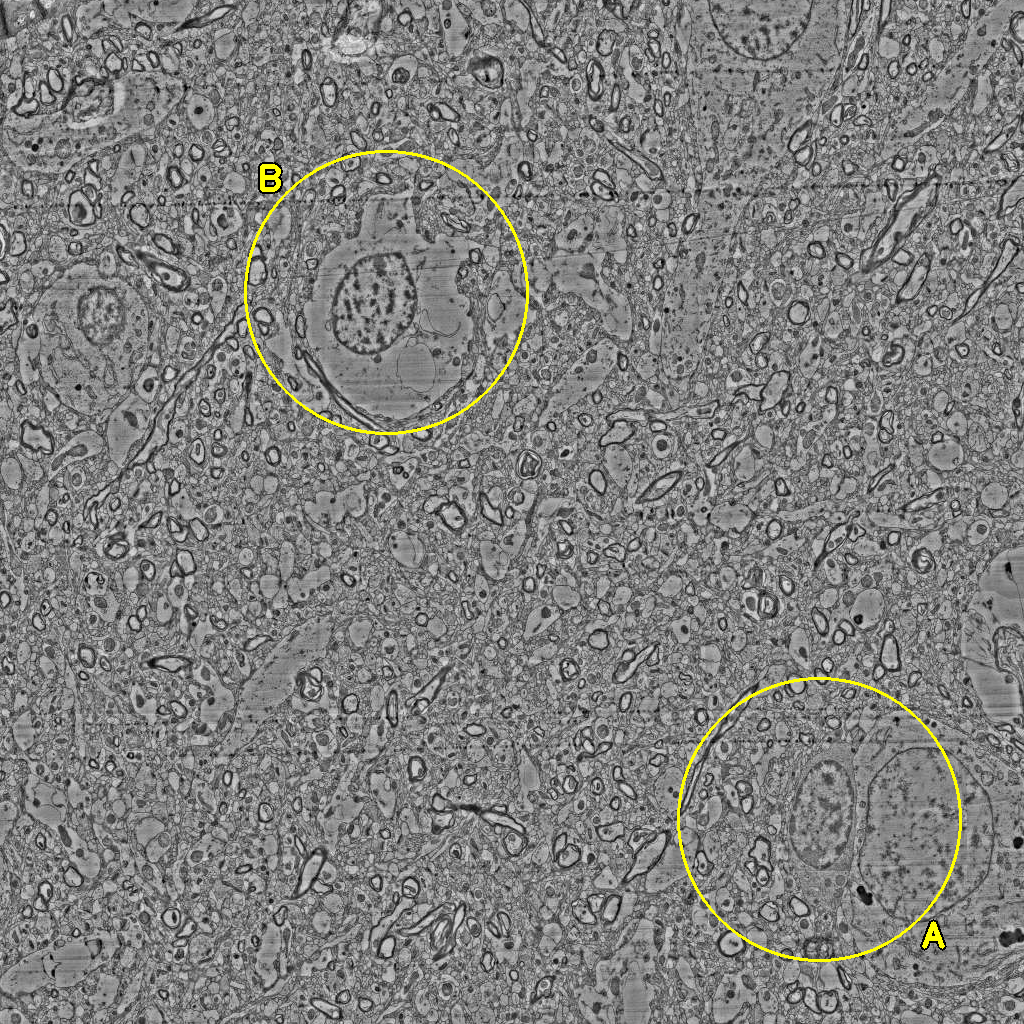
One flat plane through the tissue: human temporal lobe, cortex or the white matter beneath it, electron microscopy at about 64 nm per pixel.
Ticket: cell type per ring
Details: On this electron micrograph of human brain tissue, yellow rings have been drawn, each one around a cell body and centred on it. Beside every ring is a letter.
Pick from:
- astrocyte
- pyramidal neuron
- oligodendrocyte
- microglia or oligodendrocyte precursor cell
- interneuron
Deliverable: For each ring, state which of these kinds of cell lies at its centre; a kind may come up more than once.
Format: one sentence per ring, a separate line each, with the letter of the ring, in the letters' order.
The cell body ringed as A belongs to an oligodendrocyte.
The cell body ringed as B belongs to an astrocyte.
